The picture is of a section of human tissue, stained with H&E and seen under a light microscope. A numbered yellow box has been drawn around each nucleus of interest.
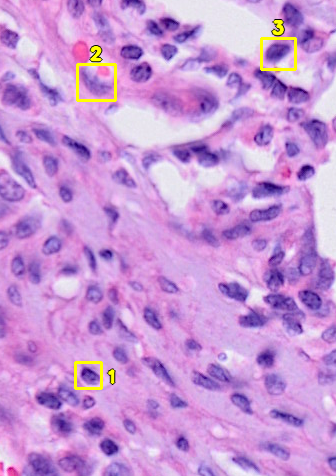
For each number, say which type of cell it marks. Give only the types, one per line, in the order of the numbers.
lymphocyte
endothelial cell
lymphocyte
